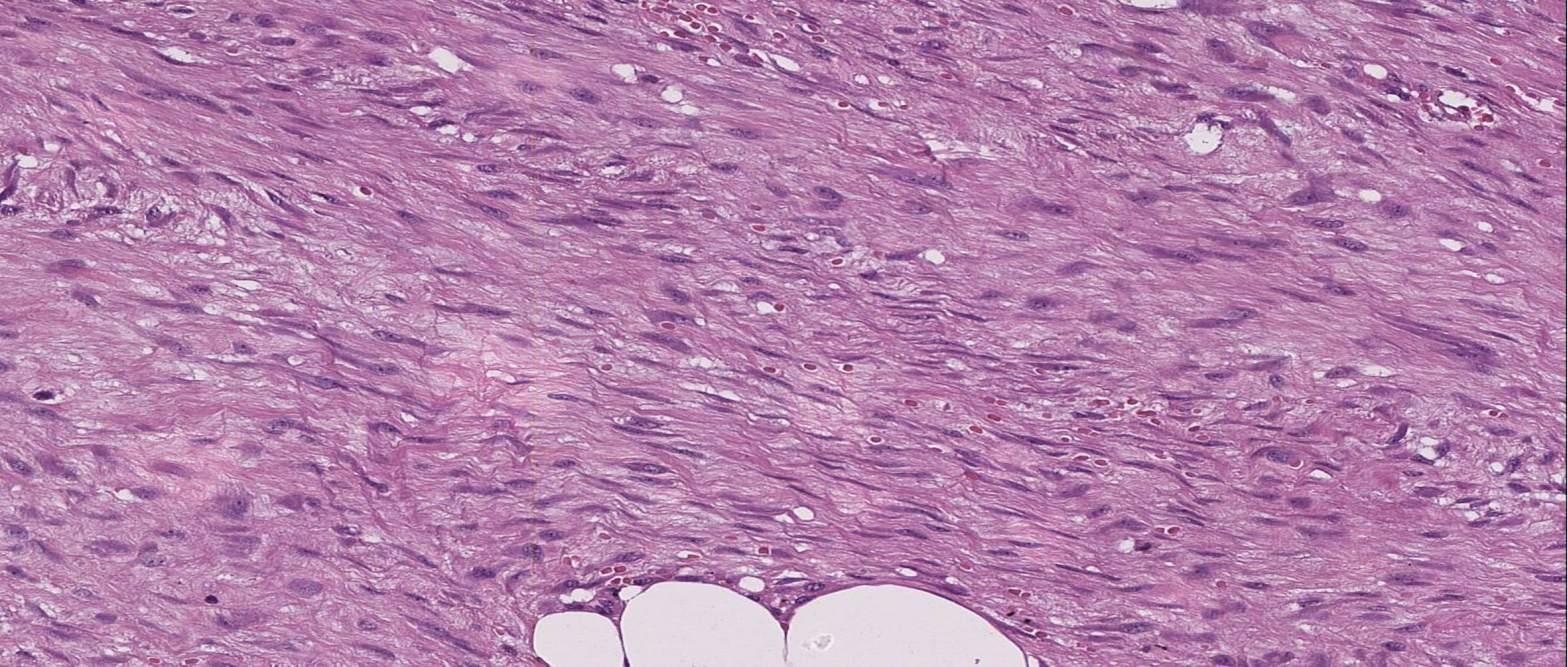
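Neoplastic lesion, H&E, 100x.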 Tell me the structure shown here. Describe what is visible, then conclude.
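Elongated cells lie in long, wavy bundles running roughly in one direction across the field. The bundles are not perfectly straight but undulate and cross slightly.
Hence: irregular and long fascicles.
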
